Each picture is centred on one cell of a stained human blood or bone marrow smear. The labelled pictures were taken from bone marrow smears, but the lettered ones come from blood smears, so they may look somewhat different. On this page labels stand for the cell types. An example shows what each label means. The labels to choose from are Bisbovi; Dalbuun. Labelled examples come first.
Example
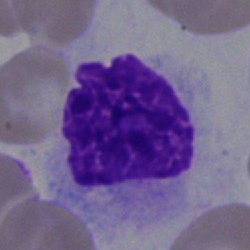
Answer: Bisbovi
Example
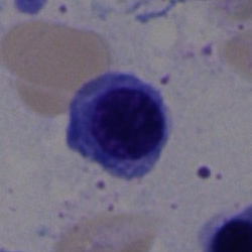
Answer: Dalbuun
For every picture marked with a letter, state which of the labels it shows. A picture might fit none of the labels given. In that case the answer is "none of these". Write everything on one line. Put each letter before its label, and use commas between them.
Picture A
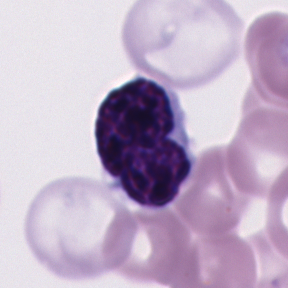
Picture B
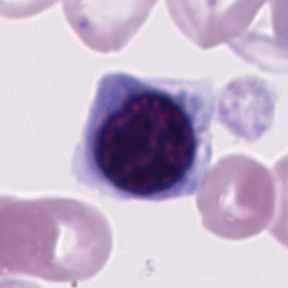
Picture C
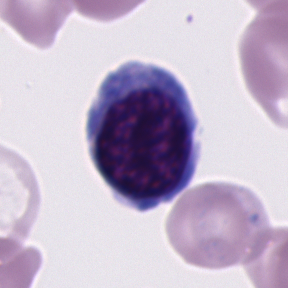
A Dalbuun, B Dalbuun, C Dalbuun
